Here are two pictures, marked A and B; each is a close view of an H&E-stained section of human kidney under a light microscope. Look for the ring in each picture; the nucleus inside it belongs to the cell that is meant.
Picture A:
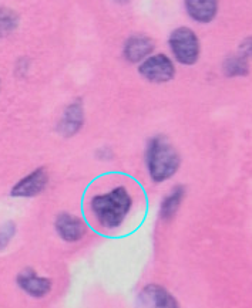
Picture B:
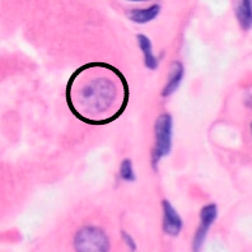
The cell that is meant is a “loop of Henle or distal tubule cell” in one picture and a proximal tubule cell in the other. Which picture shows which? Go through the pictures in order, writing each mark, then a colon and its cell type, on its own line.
A: loop of Henle or distal tubule cell
B: proximal tubule cell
